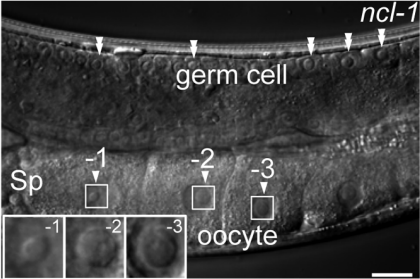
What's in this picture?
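The oocytes are large, flattened against one another in a single file, and each has a big round nucleus holding a prominent round nucleolus, seen enlarged in the insets at lower left. Nucleoli are visible even in the oocyte closest to the spermatheca.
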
